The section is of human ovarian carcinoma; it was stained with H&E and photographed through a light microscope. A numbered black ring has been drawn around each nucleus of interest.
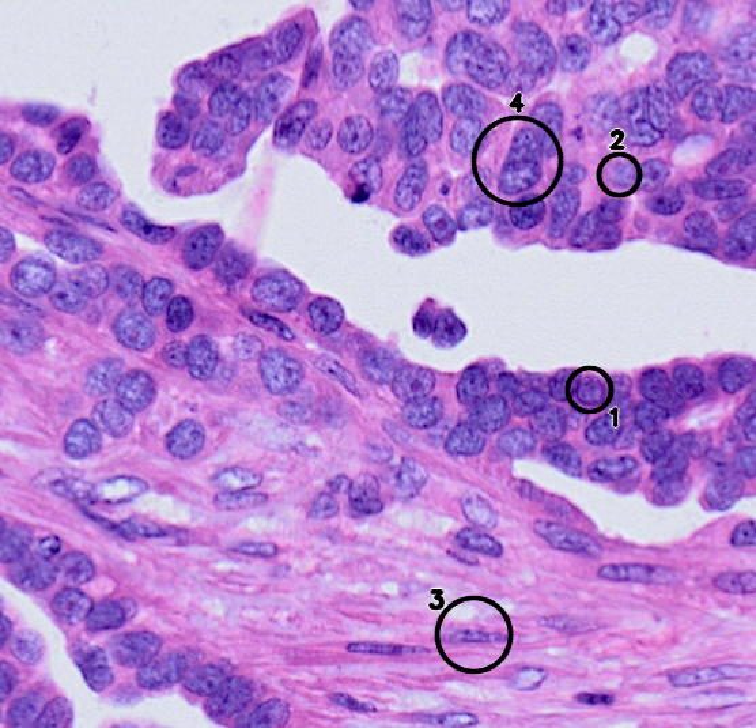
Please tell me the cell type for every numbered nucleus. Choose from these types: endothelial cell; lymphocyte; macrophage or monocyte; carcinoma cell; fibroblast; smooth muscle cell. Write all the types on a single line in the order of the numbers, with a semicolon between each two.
carcinoma cell; carcinoma cell; fibroblast; carcinoma cell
